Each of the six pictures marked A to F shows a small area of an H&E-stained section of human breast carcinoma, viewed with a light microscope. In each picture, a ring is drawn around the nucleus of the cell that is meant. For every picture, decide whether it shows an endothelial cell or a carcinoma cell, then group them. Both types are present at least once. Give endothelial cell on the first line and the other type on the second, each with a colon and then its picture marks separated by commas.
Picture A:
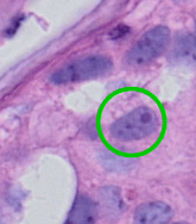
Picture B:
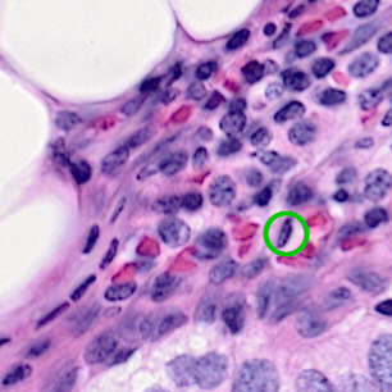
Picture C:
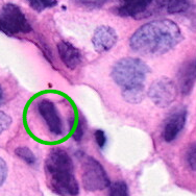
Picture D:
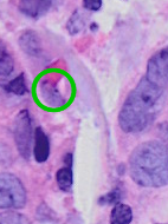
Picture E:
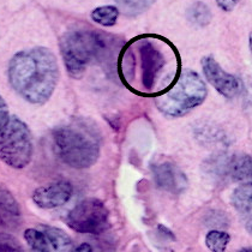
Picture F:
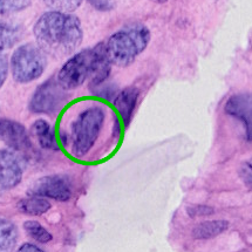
endothelial cell: B, D
carcinoma cell: A, C, E, F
